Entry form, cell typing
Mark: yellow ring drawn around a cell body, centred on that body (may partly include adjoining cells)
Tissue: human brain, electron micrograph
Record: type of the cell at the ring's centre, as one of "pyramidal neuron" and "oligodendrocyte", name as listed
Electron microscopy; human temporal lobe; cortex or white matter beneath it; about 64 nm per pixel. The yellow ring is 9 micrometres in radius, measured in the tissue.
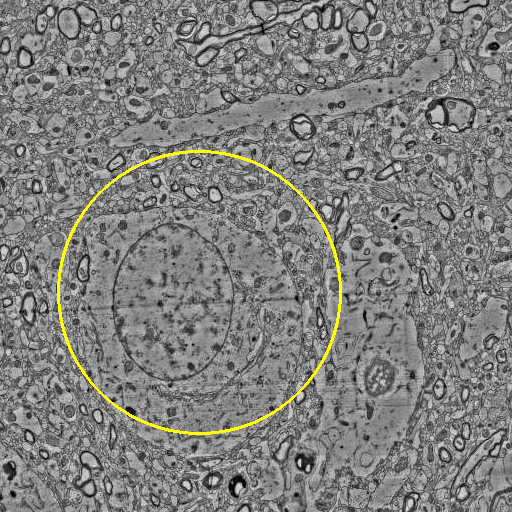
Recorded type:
pyramidal neuron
